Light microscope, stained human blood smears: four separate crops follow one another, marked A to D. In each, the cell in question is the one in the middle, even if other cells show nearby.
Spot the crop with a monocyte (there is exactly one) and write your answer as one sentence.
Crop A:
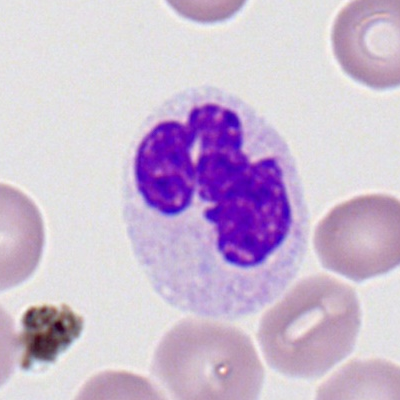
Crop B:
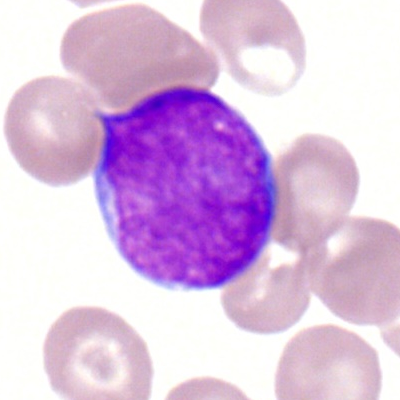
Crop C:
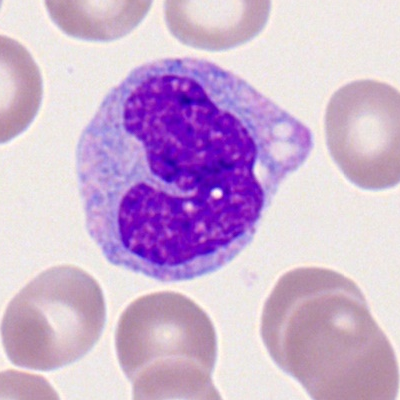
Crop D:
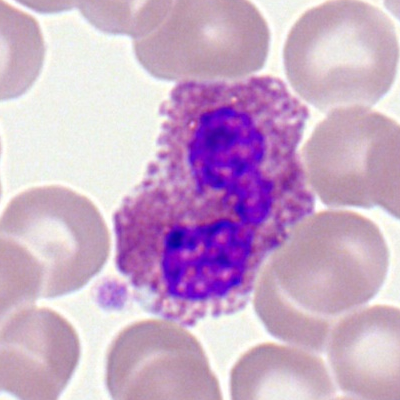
Crop C is where a monocyte is to be found.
